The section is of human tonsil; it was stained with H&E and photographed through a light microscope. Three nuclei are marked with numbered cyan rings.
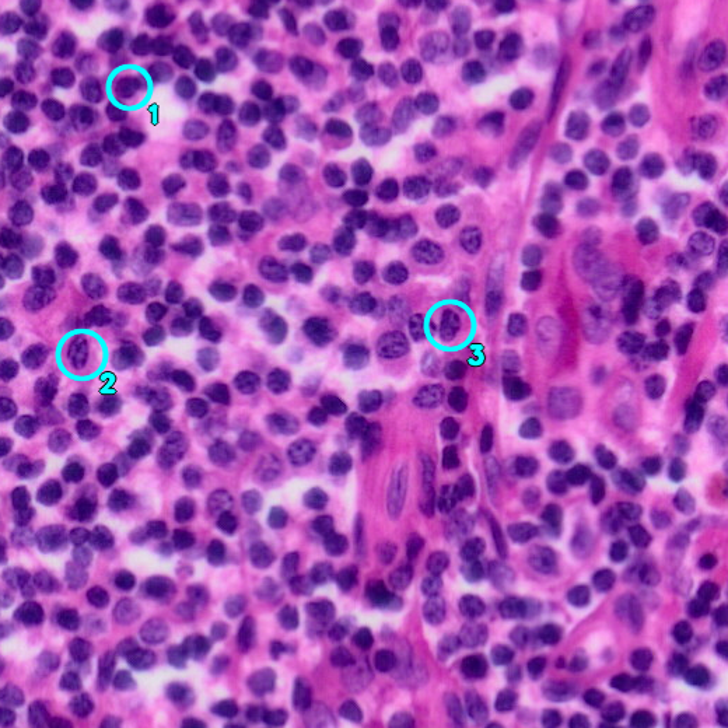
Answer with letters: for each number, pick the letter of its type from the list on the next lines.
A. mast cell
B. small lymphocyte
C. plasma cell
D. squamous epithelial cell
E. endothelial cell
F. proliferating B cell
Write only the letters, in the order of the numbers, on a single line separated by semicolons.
B; C; C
